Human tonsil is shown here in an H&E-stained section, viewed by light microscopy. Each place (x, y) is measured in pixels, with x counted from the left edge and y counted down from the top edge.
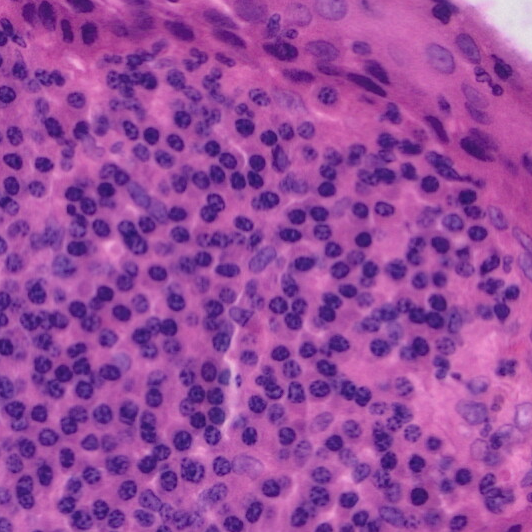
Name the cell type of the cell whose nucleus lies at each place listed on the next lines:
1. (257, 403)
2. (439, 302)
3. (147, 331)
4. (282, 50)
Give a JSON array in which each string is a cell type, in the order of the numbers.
["plasma cell", "plasma cell", "plasma cell", "squamous epithelial cell"]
